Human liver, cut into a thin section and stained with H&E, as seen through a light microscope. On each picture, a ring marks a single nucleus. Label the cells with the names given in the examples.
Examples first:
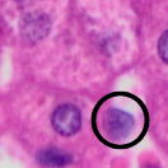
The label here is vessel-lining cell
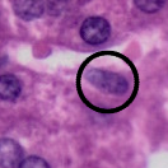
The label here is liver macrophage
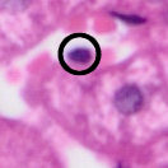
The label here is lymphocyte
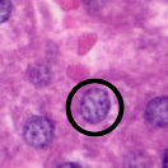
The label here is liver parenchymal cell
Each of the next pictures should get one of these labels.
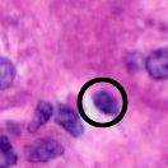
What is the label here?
lymphocyte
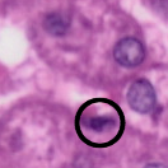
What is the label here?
vessel-lining cell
